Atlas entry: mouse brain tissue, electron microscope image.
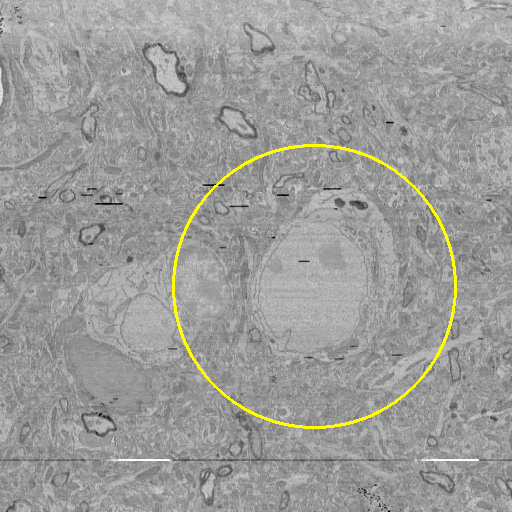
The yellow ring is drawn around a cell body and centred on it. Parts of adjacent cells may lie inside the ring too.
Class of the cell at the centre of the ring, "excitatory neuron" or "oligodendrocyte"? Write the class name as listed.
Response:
excitatory neuron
